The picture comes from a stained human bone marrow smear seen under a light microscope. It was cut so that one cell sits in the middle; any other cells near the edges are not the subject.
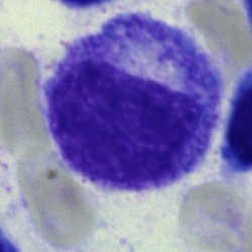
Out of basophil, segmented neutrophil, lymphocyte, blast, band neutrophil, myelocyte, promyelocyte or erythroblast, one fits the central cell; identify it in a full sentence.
Standing at the centre of this crop is a myelocyte.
